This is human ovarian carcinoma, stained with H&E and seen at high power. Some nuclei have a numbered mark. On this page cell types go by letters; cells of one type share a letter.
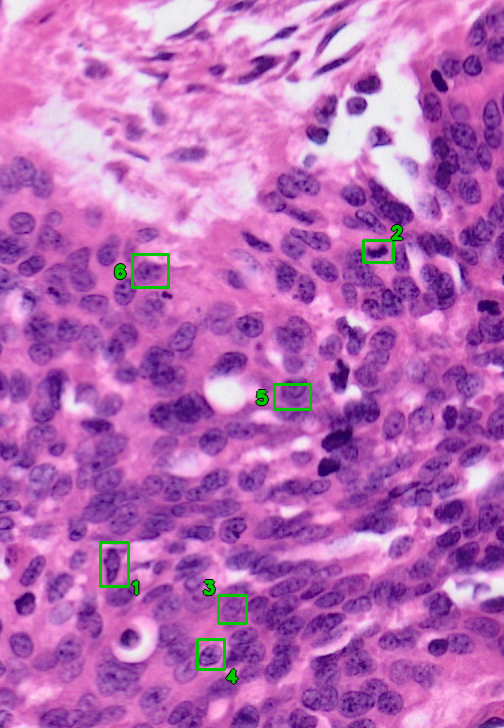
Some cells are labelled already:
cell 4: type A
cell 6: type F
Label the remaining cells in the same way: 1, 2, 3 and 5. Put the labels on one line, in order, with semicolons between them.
type A; type F; type F; type F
